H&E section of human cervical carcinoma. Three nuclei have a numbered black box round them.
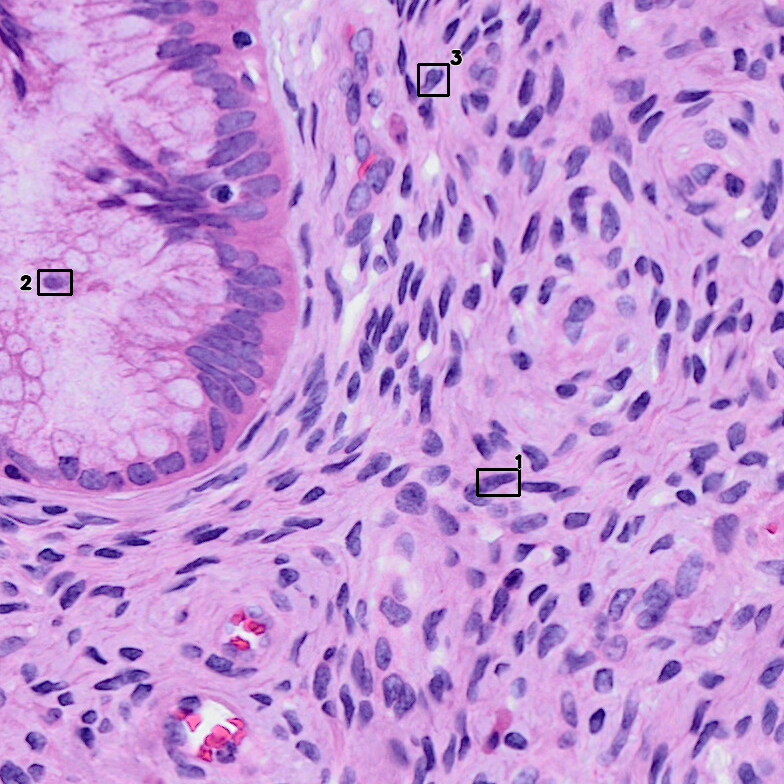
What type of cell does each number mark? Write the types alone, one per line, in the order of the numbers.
fibroblast
secretory epithelial cell
fibroblast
